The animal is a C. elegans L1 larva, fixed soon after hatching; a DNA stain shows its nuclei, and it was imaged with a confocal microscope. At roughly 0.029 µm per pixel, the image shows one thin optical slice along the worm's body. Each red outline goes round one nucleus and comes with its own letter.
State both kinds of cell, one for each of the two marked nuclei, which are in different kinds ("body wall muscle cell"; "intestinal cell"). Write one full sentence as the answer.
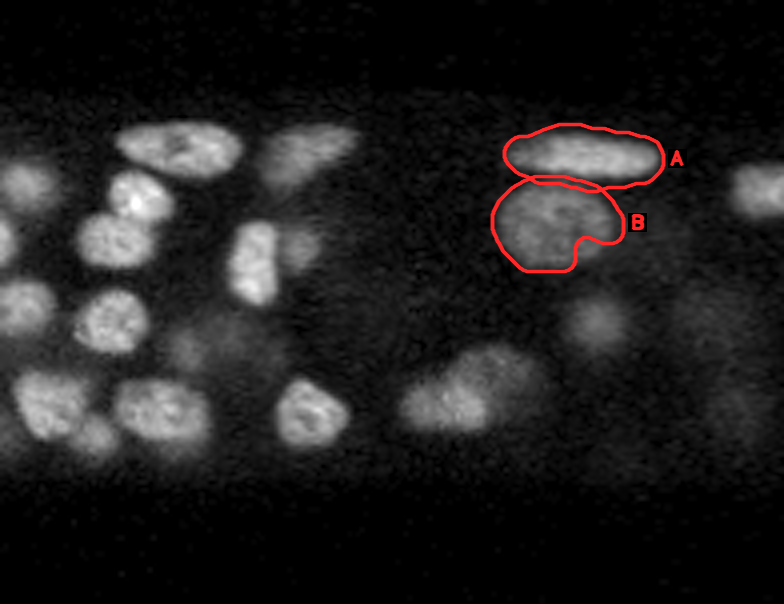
A is the nucleus of a body wall muscle cell; B is the nucleus of an intestinal cell.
